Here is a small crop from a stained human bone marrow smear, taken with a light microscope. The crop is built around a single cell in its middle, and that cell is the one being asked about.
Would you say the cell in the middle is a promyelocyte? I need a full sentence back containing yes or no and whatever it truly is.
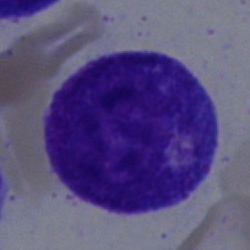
Yes, a promyelocyte is present in the middle of the crop.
